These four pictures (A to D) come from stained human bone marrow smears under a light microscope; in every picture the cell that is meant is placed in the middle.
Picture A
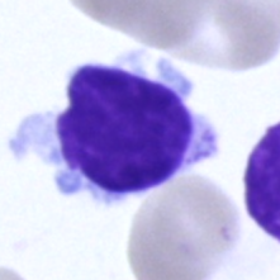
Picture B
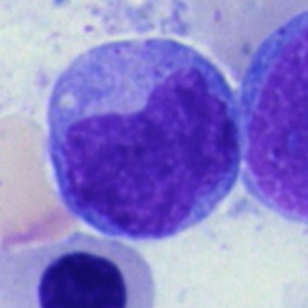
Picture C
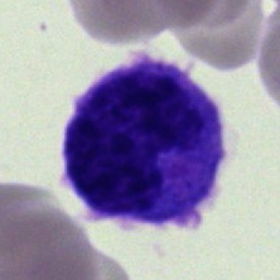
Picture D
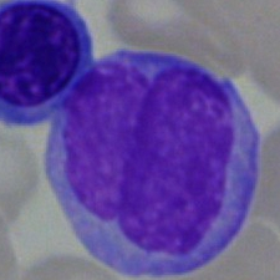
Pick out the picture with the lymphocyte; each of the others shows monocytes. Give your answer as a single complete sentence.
Picture A shows the lymphocyte.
